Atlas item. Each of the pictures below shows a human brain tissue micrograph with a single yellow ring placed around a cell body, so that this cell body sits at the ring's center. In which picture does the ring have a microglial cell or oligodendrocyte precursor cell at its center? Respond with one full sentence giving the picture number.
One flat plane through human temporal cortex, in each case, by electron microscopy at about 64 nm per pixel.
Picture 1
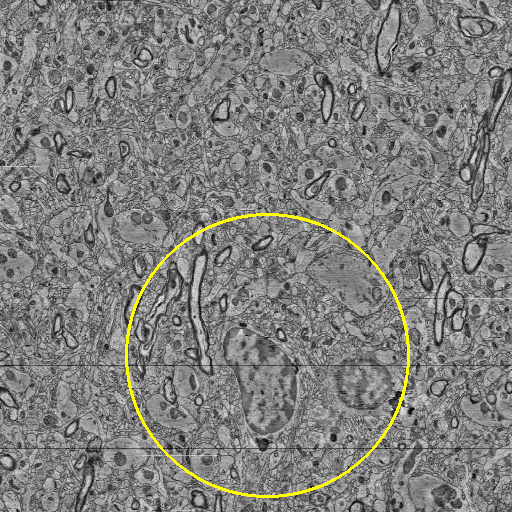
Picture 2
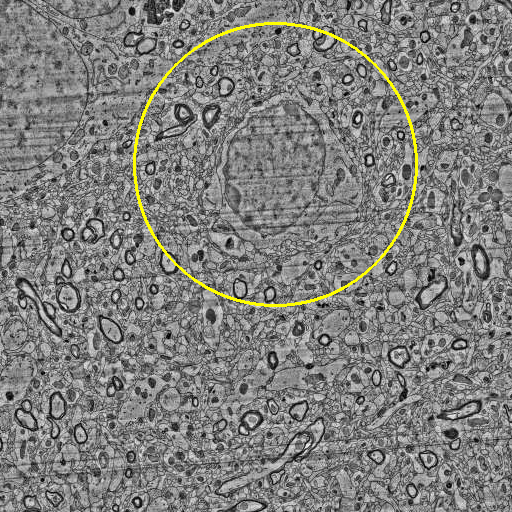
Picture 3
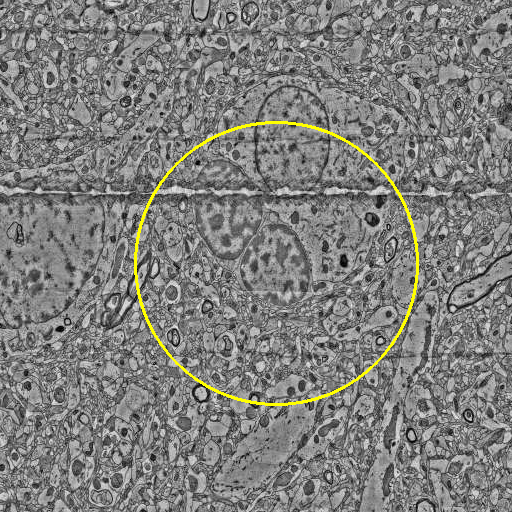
The cell at the ring's center that fits lies in picture 1.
